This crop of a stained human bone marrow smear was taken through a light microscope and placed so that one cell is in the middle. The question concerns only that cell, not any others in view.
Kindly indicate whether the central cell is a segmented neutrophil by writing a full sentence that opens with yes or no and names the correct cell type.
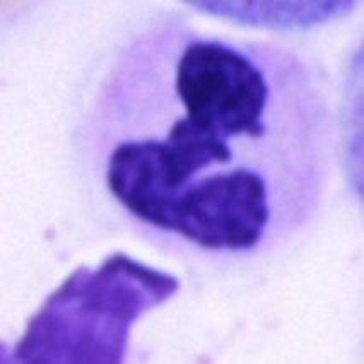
Yes, it is a segmented neutrophil that lies in the middle.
